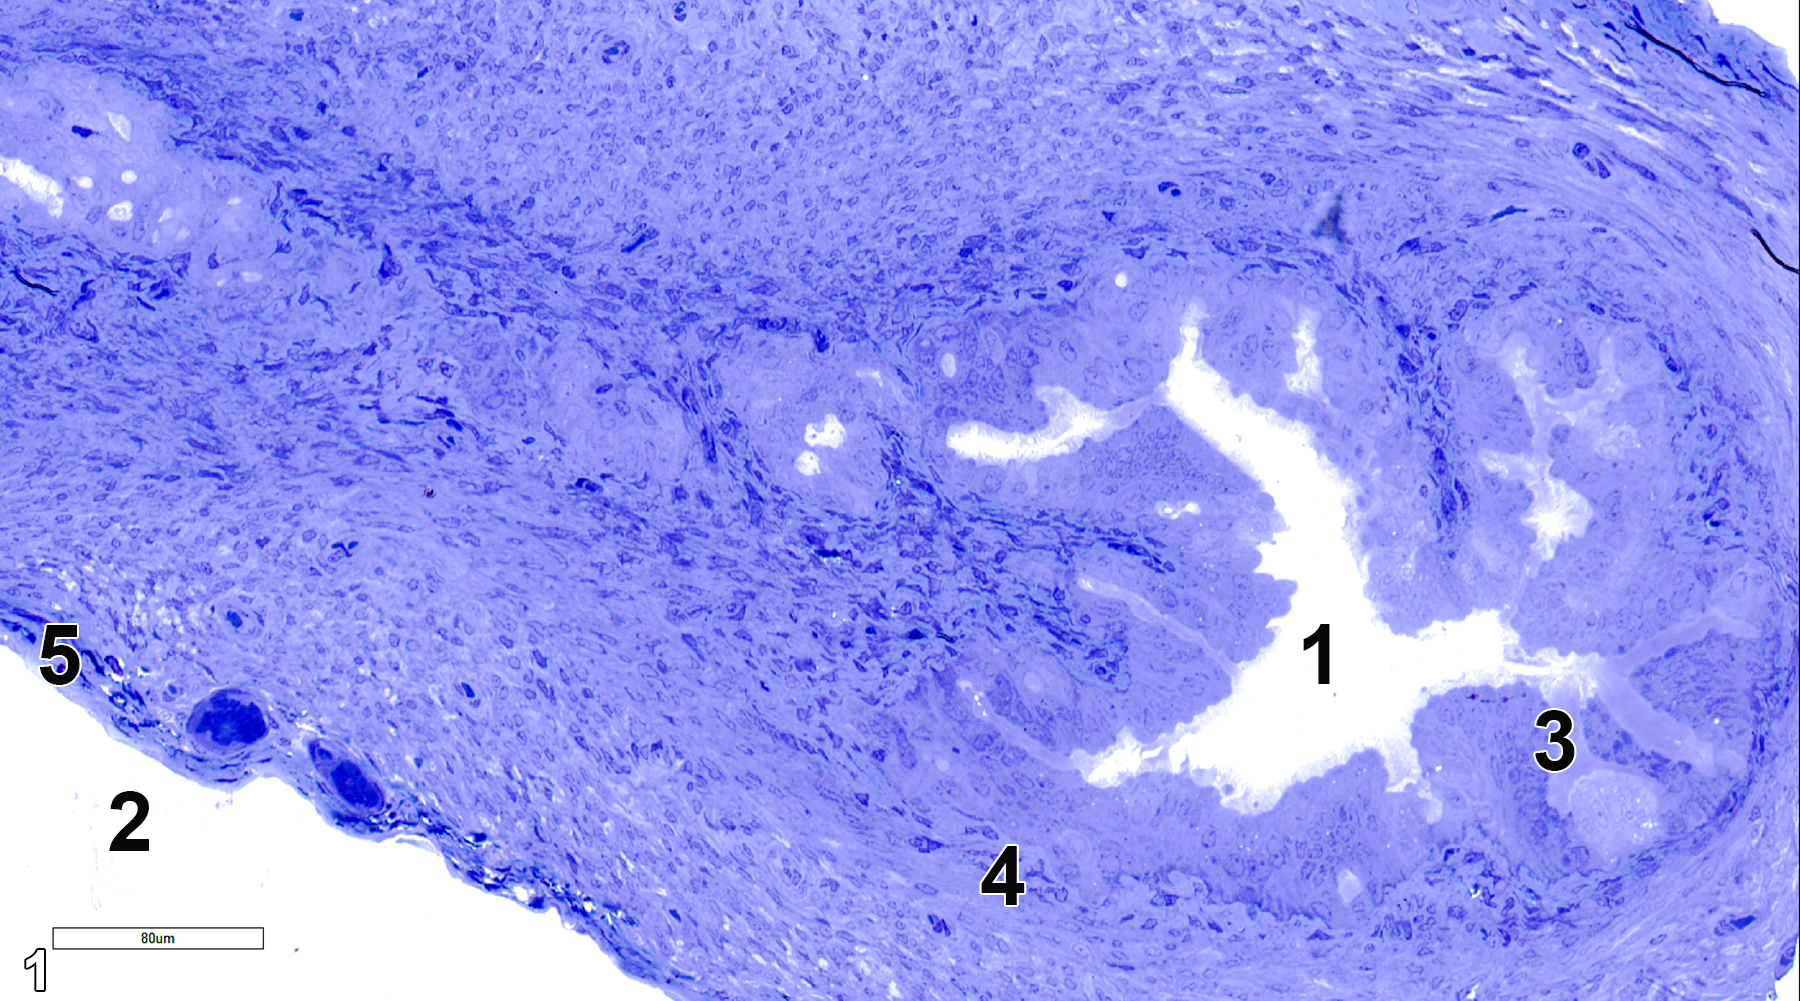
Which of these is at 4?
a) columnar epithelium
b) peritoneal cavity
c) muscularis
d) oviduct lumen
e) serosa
c) muscularis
